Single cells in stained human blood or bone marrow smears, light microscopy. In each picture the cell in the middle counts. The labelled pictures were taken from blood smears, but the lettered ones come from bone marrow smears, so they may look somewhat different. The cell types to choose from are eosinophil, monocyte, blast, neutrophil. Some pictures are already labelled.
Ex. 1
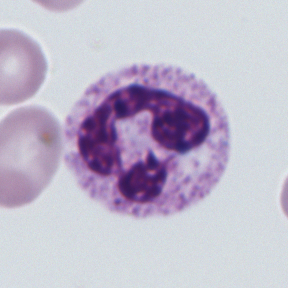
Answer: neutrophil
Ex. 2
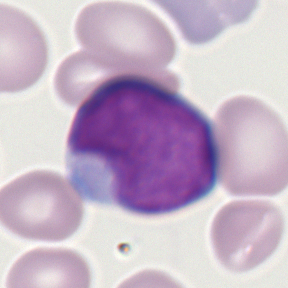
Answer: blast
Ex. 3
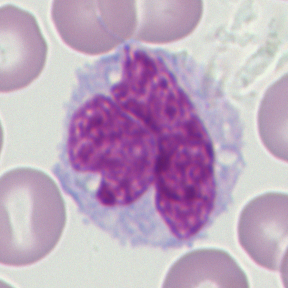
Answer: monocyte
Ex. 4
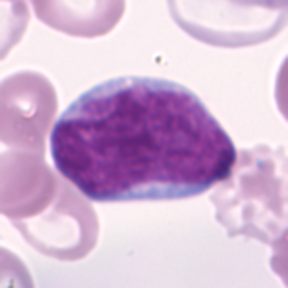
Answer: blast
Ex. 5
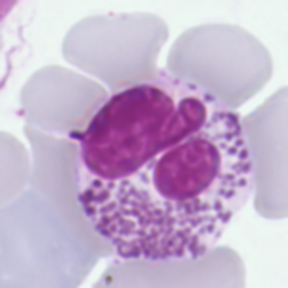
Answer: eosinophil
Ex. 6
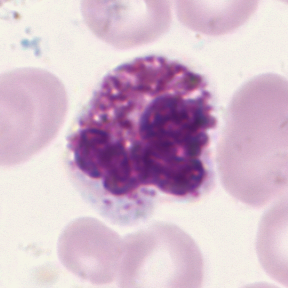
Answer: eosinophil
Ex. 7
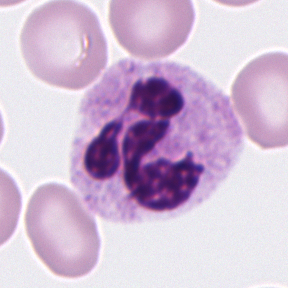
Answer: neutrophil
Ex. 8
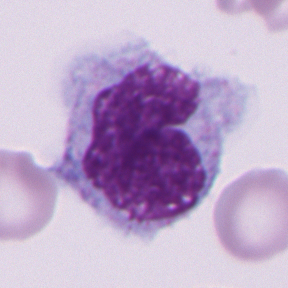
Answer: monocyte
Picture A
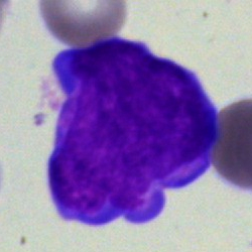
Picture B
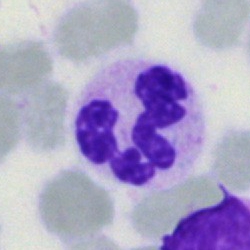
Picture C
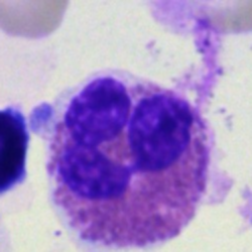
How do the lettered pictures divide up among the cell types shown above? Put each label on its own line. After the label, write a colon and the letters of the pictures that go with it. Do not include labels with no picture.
eosinophil: C
blast: A
neutrophil: B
